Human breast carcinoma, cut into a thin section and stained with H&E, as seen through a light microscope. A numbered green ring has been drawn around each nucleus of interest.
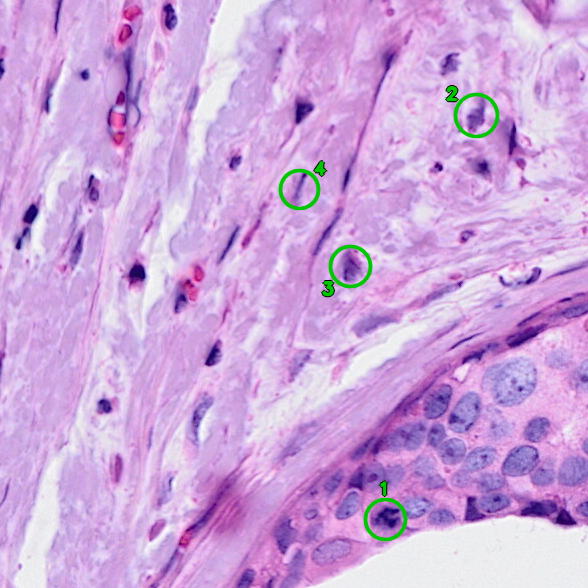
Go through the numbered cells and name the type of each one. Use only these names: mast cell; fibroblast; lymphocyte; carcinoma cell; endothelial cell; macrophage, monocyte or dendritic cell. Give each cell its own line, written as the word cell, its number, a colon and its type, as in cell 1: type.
cell 1: carcinoma cell
cell 2: fibroblast
cell 3: fibroblast
cell 4: fibroblast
